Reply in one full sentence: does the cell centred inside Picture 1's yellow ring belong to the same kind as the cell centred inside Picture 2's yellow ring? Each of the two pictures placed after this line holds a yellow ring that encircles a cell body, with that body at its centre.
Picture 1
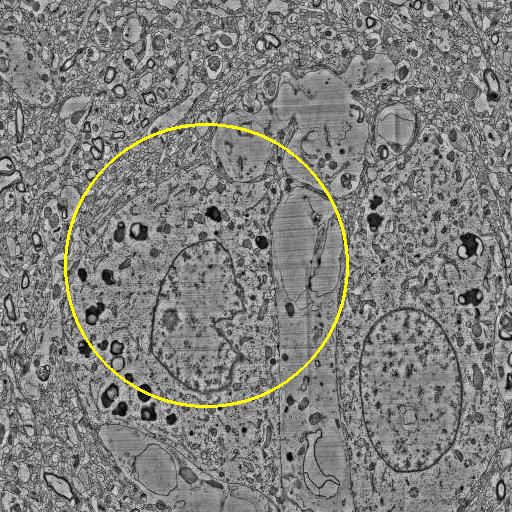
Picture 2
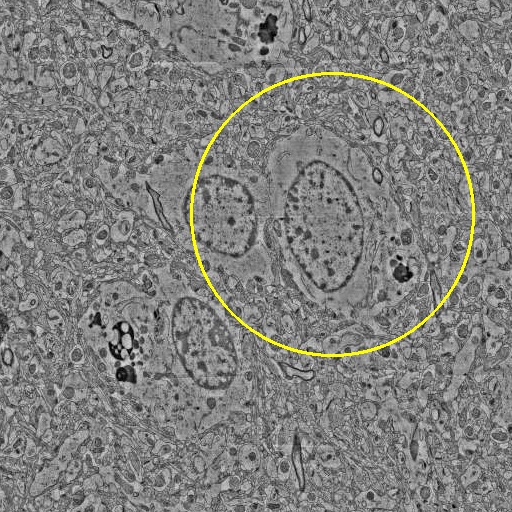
No, the ring-centred cells in Picture 1 and Picture 2 are of two separate kinds.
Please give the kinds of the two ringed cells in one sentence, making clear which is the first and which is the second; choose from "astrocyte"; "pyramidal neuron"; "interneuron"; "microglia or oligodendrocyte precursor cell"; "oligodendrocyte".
In the second picture the ringed cell is an astrocyte; in the first it is a pyramidal neuron.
